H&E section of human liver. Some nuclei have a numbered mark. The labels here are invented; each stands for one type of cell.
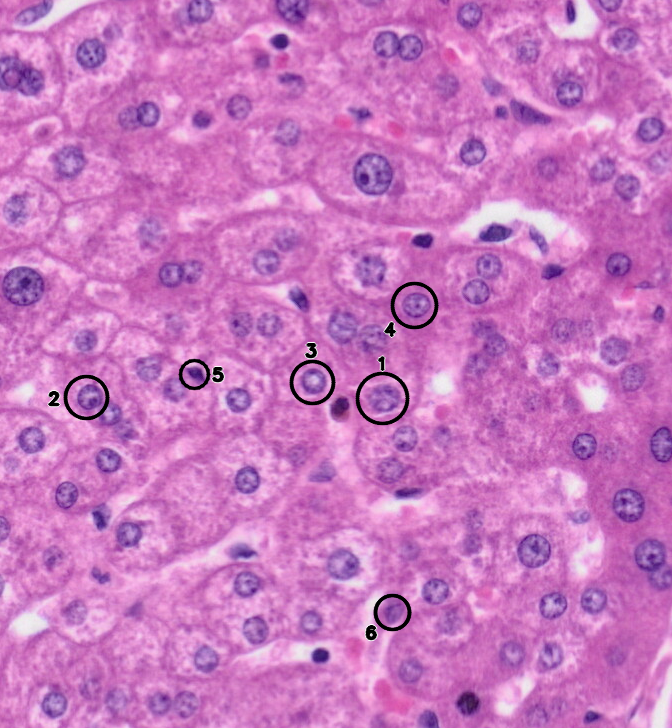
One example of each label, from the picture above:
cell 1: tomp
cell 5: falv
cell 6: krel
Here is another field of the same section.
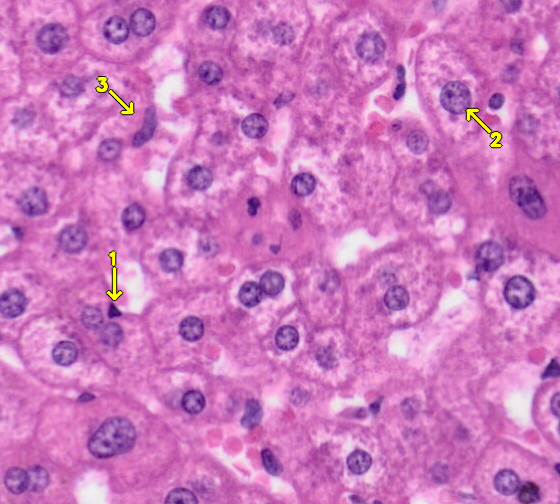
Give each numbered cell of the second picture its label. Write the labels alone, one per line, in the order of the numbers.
falv
tomp
krel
